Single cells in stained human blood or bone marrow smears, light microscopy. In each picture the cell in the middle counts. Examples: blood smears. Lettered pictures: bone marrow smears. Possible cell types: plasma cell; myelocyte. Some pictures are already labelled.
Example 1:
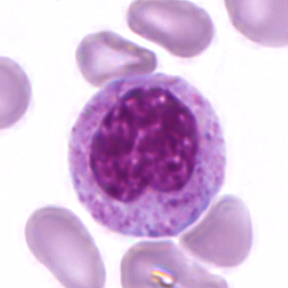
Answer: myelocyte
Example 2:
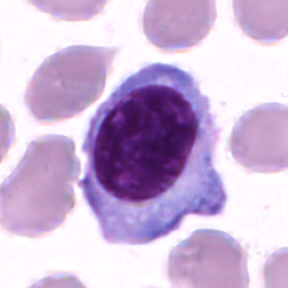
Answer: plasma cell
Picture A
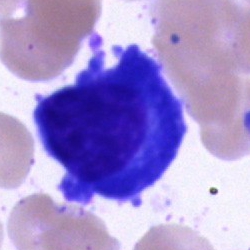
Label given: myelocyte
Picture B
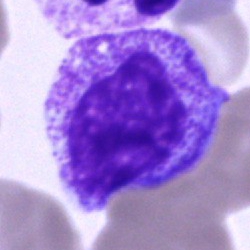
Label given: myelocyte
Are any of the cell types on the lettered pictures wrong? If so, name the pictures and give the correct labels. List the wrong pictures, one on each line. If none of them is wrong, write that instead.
A: not myelocyte but plasma cell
